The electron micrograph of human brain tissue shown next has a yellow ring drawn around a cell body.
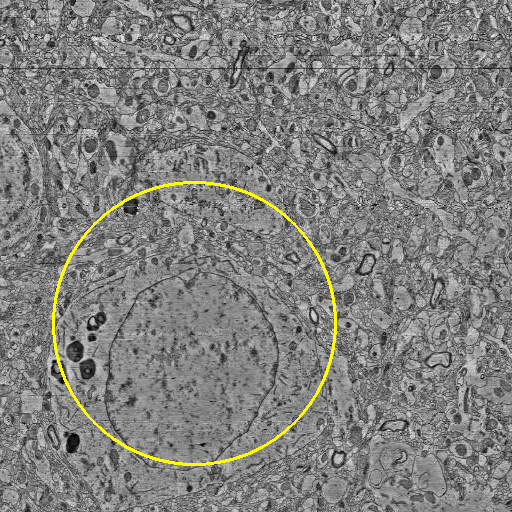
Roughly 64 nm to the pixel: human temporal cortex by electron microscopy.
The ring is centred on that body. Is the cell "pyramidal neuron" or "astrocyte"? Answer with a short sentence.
The cell in question is a pyramidal neuron.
